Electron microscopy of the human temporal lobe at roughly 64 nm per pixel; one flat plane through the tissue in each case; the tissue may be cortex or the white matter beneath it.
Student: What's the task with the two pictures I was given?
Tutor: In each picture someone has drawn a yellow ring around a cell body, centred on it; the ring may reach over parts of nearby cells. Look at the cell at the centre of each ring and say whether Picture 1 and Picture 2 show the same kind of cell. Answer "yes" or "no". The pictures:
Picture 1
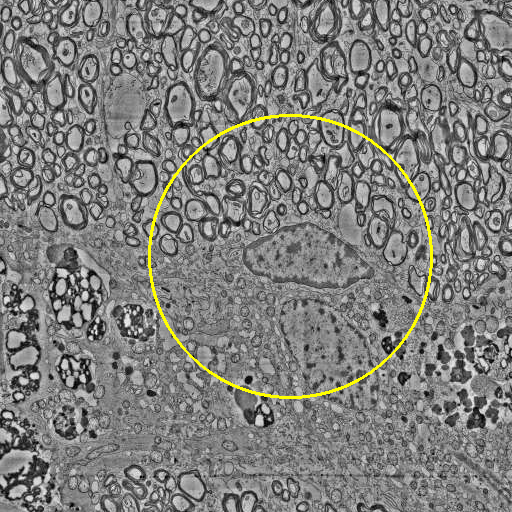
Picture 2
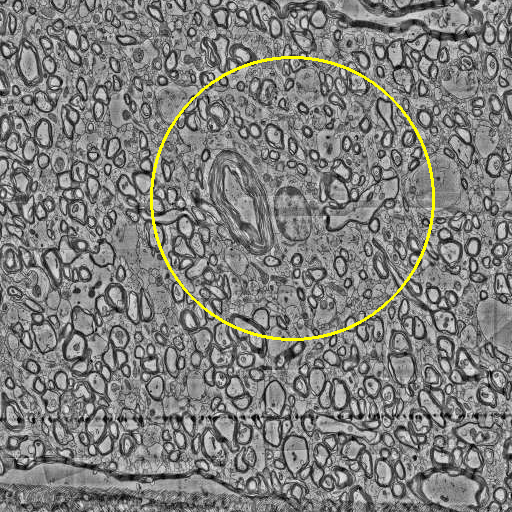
yes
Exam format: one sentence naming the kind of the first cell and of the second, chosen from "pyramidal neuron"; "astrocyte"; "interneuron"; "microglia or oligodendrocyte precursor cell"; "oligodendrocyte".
The second cell is a microglial cell or oligodendrocyte precursor cell, just as the first is.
